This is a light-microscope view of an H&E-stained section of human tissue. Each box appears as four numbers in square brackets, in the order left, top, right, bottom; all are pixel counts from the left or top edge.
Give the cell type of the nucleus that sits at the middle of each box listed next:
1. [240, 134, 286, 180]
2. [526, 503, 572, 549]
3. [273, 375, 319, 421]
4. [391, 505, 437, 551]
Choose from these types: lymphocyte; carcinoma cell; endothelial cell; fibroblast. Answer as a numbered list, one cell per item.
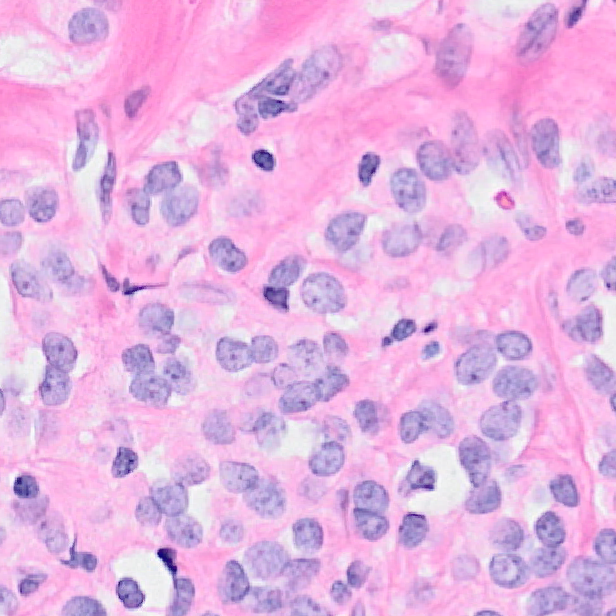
1. lymphocyte
2. carcinoma cell
3. carcinoma cell
4. carcinoma cell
